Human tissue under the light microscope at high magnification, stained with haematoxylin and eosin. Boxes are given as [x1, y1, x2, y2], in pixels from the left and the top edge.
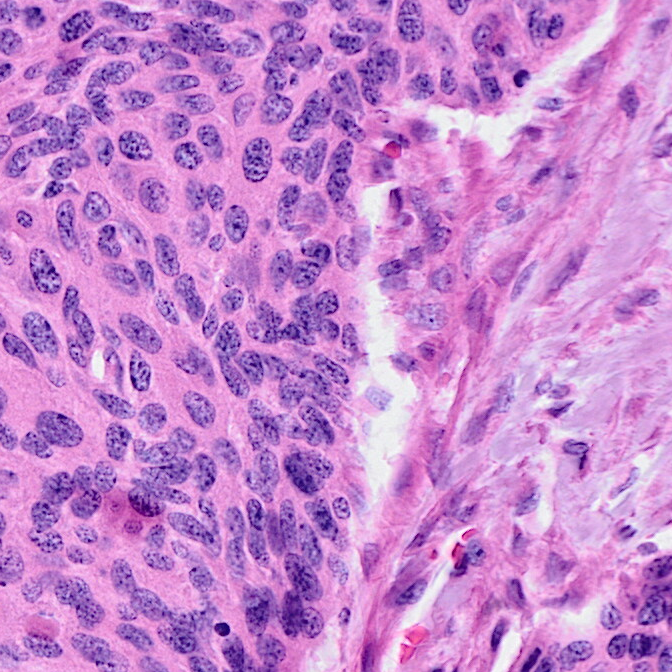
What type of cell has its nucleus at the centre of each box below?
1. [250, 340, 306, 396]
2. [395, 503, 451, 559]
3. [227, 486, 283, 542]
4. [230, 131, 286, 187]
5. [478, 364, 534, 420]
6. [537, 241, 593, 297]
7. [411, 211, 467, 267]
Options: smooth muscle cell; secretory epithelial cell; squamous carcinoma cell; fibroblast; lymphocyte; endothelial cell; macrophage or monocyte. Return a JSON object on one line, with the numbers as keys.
{"1": "squamous carcinoma cell", "2": "fibroblast", "3": "squamous carcinoma cell", "4": "squamous carcinoma cell", "5": "fibroblast", "6": "fibroblast", "7": "endothelial cell"}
